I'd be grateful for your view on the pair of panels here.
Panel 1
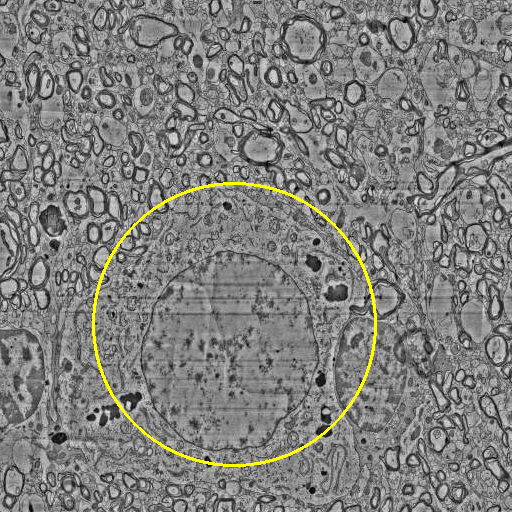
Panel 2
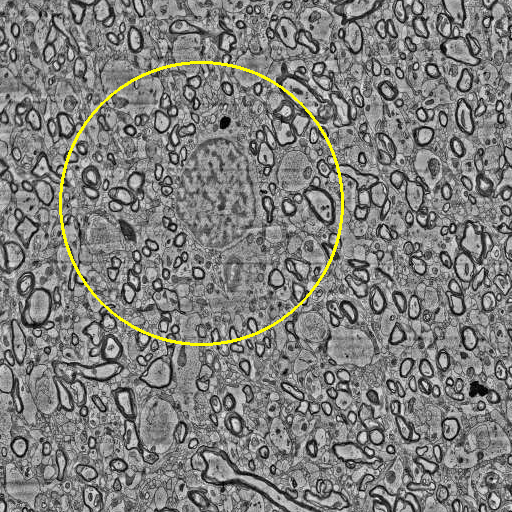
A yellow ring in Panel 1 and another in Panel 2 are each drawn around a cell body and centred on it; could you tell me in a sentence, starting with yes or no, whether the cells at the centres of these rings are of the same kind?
No, they are two kinds of cell.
